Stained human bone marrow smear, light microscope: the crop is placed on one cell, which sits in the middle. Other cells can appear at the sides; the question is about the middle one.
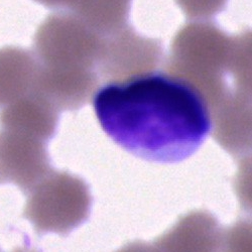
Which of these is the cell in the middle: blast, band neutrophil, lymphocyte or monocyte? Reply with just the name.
lymphocyte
